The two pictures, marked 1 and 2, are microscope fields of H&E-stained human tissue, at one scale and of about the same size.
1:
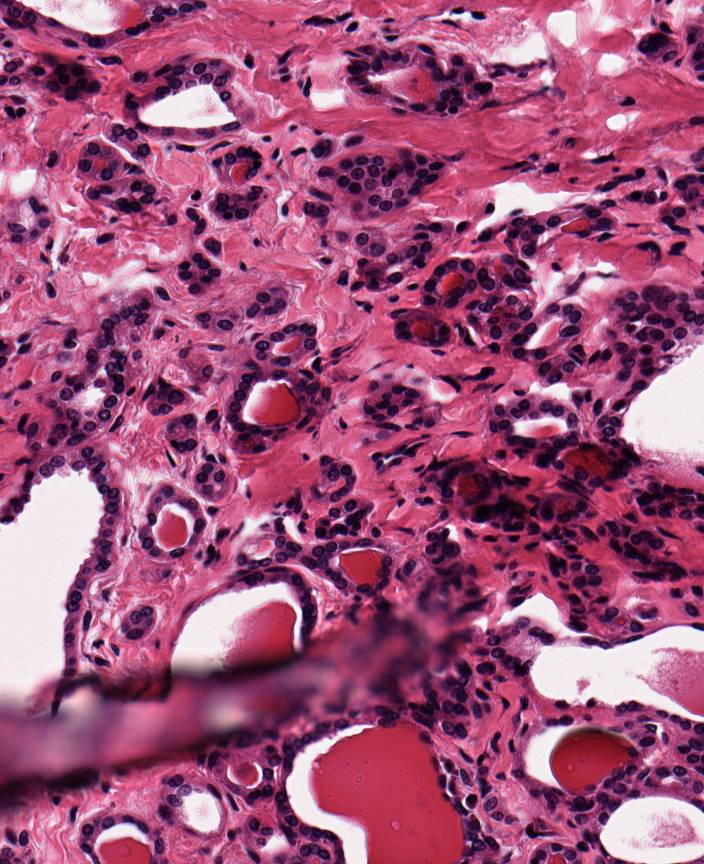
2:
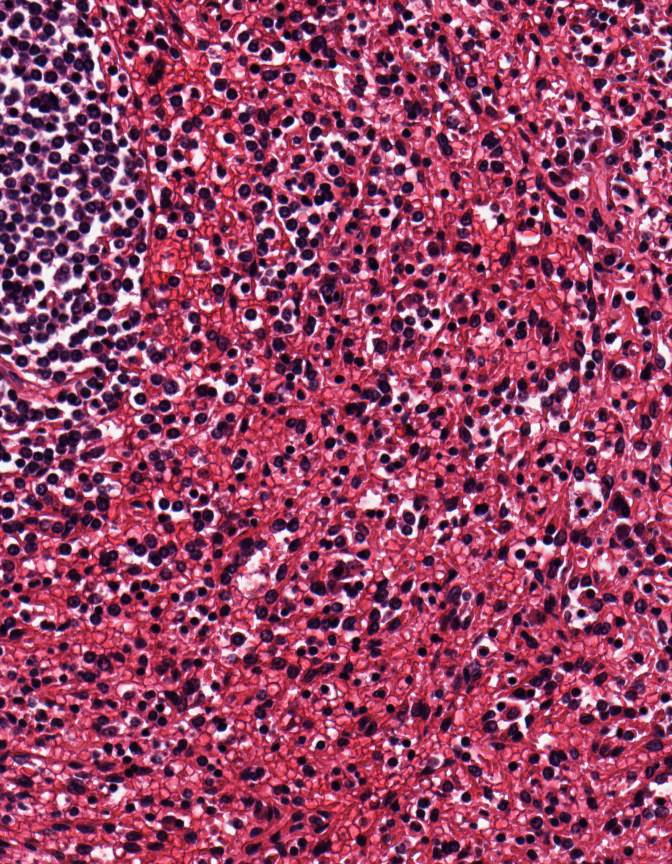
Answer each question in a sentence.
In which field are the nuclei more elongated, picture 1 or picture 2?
Longer, more slender nuclei lie in picture 1.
